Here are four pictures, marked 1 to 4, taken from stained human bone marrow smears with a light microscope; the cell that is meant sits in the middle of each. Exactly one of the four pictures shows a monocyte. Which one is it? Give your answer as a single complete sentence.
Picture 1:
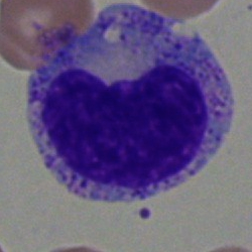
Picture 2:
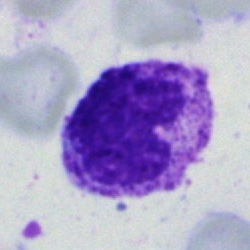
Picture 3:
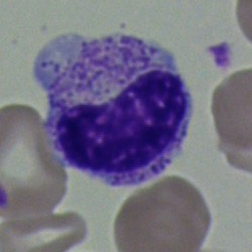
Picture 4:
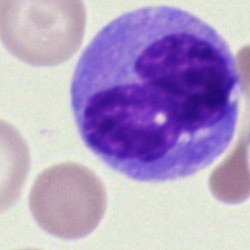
The picture with the monocyte is 4.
